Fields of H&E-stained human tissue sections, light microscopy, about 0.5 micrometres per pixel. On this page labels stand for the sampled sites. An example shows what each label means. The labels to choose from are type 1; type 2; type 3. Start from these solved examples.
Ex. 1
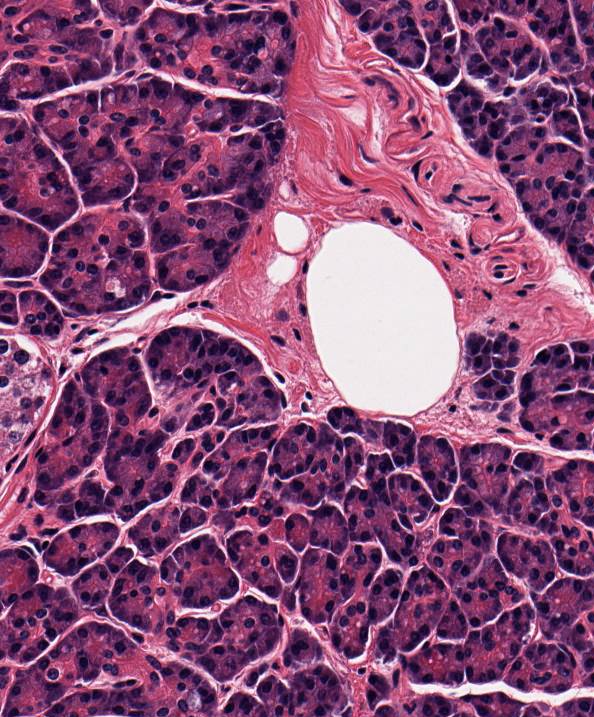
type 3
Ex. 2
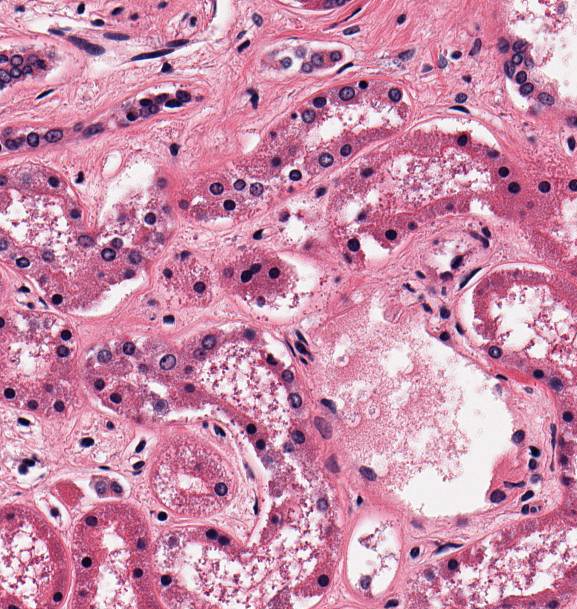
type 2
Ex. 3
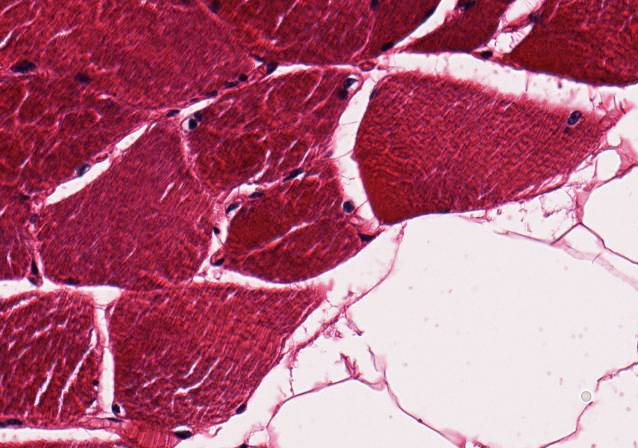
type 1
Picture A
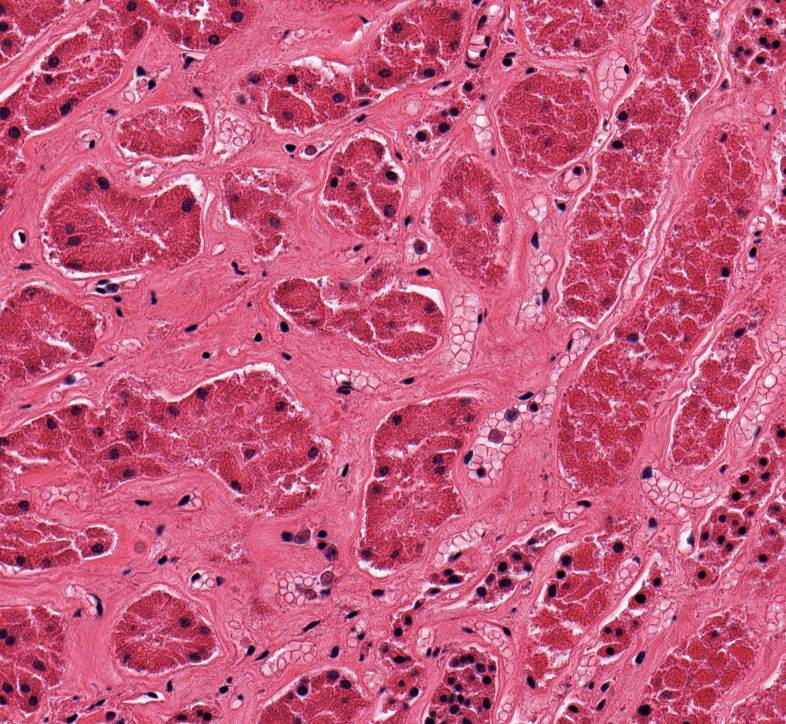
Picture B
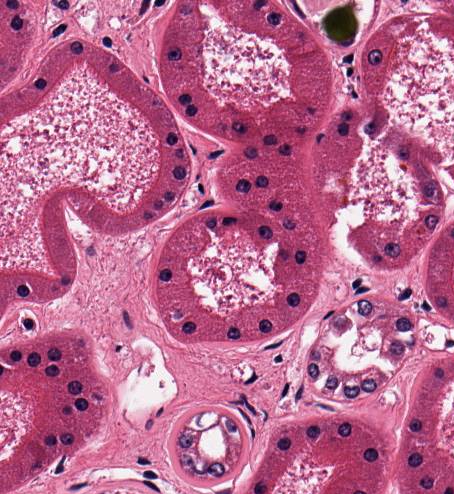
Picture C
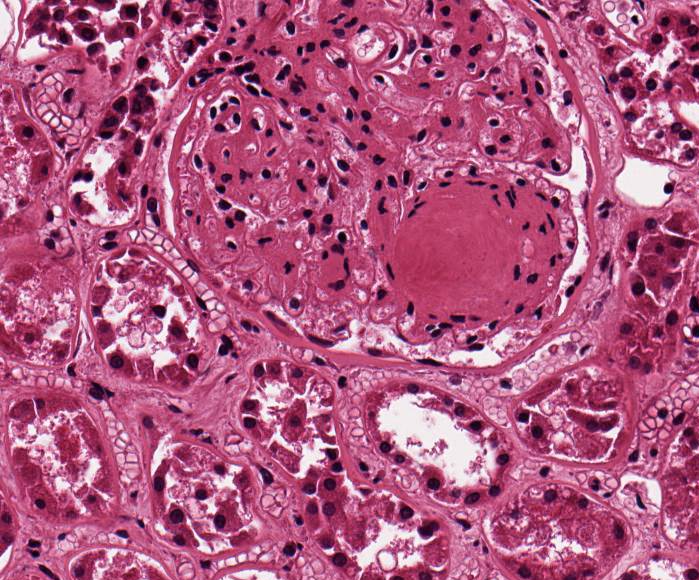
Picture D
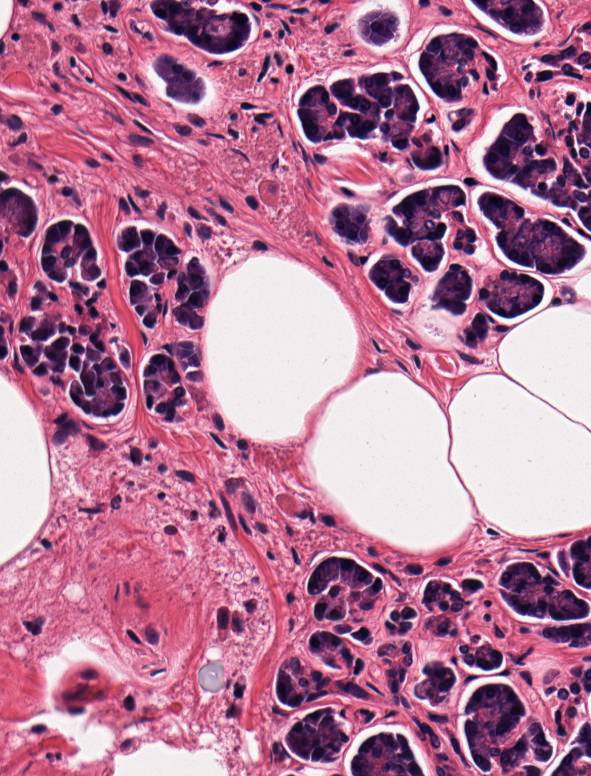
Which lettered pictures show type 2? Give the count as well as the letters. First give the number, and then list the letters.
3, namely A, B, C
